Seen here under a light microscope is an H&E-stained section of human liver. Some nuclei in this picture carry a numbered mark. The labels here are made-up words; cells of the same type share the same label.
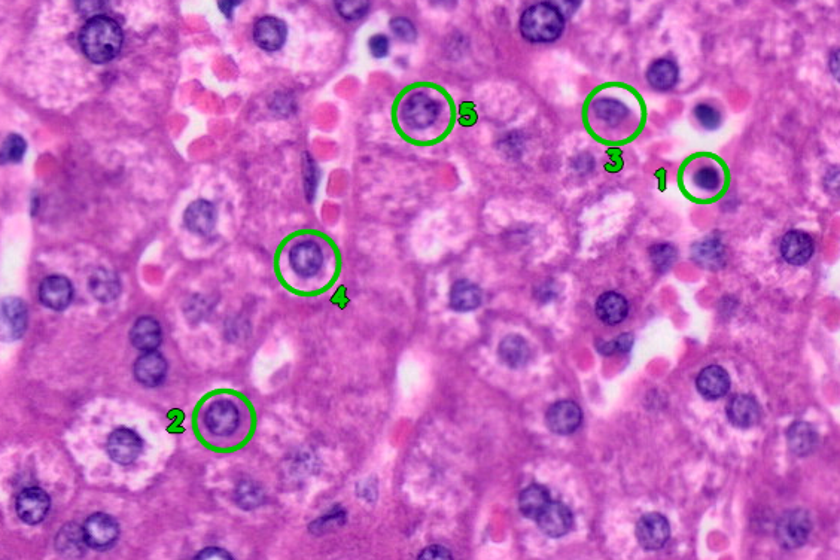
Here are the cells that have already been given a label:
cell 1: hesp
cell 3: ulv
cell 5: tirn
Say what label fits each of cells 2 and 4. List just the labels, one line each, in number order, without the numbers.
tirn
tirn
